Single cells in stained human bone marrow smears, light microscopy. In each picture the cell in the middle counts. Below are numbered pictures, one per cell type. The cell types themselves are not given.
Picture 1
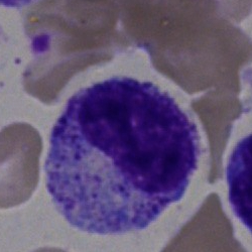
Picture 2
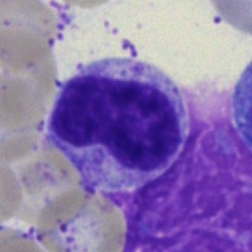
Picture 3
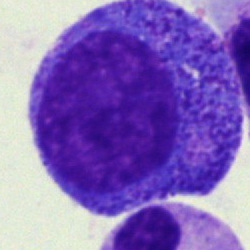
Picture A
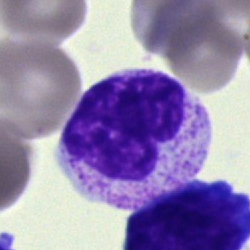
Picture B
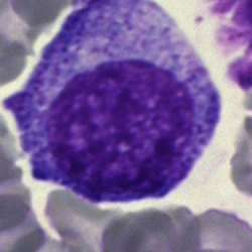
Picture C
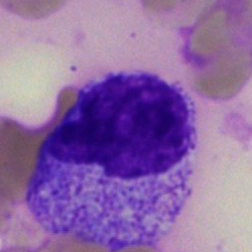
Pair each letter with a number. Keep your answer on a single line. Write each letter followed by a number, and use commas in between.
A 2, B 3, C 2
